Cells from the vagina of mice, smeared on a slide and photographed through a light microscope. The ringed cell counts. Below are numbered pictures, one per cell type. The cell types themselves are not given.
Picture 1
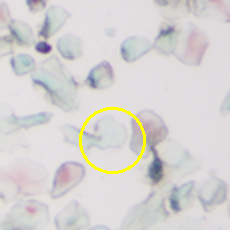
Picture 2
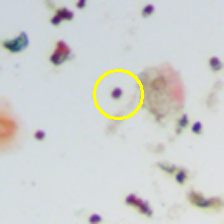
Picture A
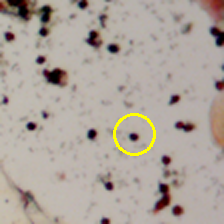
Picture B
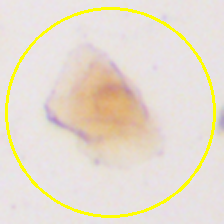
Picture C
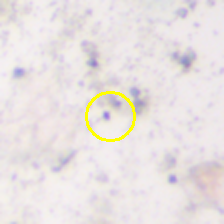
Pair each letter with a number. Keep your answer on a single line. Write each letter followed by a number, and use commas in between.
A 2, B 1, C 2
